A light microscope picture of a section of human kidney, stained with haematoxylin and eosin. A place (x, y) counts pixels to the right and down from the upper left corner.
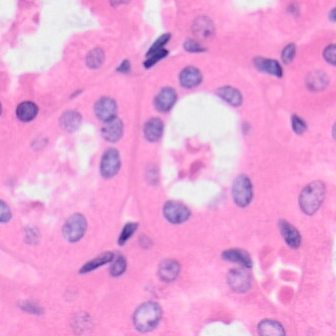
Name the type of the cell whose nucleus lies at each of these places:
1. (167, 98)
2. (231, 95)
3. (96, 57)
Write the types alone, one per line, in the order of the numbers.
loop of Henle or distal tubule cell
loop of Henle or distal tubule cell
proximal tubule cell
